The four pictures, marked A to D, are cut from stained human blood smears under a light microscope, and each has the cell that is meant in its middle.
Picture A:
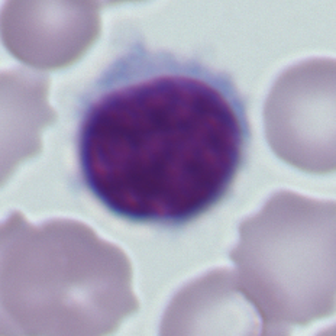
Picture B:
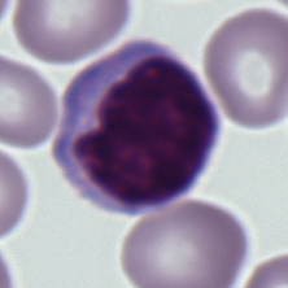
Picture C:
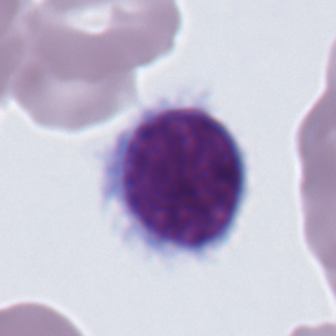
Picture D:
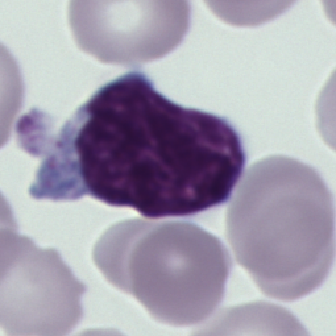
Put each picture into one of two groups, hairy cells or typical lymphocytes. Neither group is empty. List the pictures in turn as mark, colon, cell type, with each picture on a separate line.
A: hairy cell
B: typical lymphocyte
C: hairy cell
D: typical lymphocyte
